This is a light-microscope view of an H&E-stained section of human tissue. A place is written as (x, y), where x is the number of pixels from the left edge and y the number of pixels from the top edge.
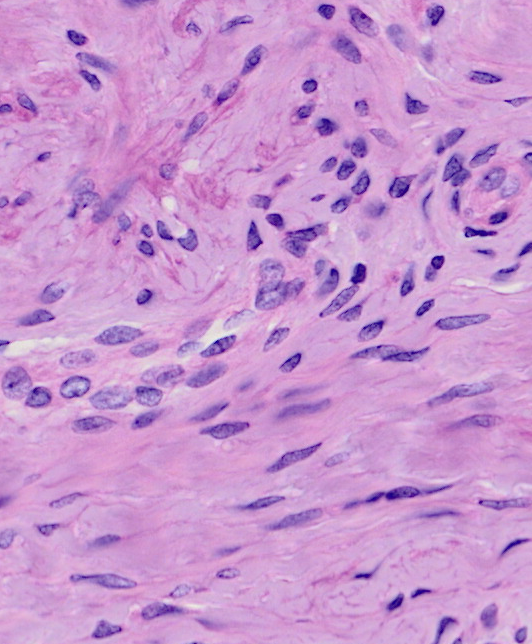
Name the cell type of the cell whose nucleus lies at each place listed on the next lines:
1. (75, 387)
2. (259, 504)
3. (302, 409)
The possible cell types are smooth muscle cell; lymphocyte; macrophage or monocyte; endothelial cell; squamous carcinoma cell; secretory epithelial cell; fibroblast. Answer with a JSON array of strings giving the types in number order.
["endothelial cell", "fibroblast", "fibroblast"]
